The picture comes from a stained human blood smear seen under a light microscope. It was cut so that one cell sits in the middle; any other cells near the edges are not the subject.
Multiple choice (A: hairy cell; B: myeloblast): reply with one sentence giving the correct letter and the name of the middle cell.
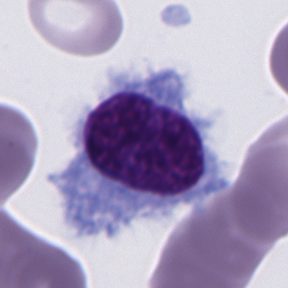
Here the right option is A, as the cell in the middle is a hairy cell.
